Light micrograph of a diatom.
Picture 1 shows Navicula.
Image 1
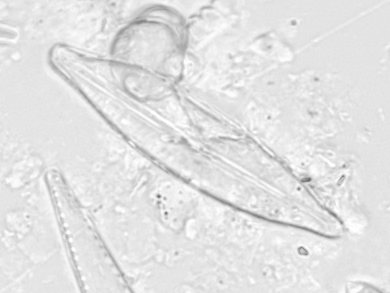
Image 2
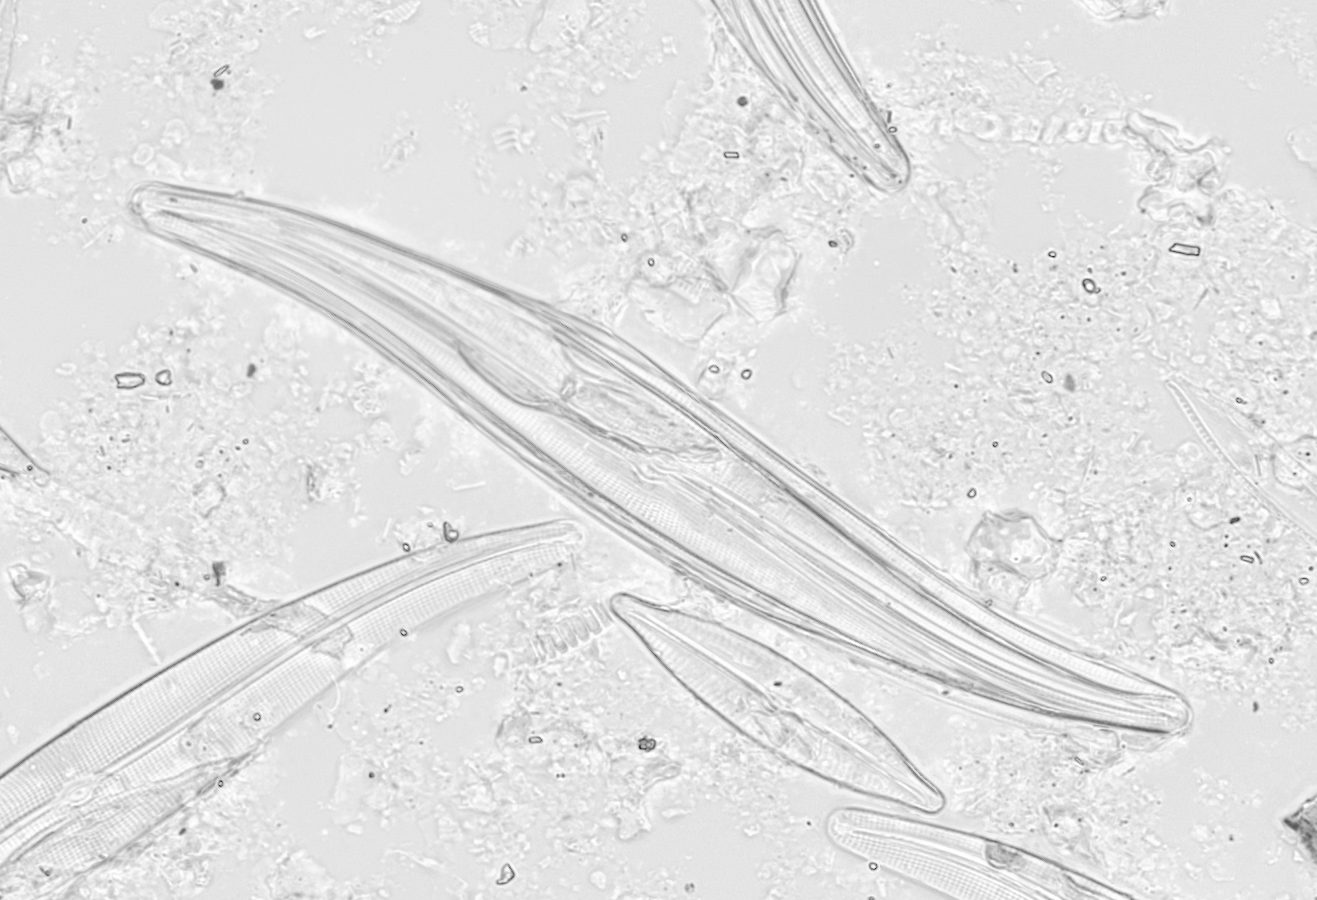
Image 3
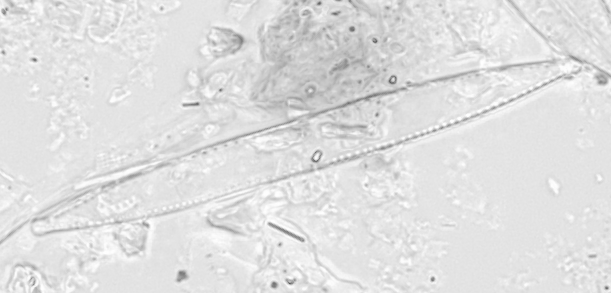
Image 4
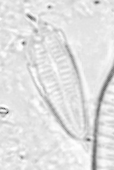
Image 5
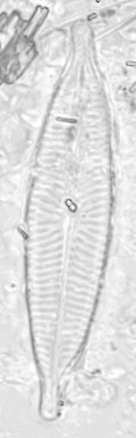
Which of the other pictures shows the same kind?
Picture 5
